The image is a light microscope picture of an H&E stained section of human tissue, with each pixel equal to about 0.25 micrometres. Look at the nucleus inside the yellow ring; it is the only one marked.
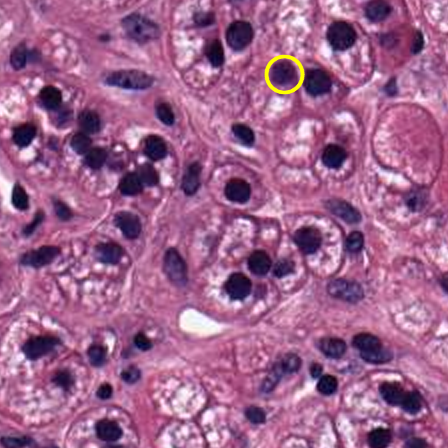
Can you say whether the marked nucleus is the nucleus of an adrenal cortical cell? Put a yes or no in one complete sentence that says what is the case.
Yes, the nucleus shown with the mark belongs to an adrenal cortical cell.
